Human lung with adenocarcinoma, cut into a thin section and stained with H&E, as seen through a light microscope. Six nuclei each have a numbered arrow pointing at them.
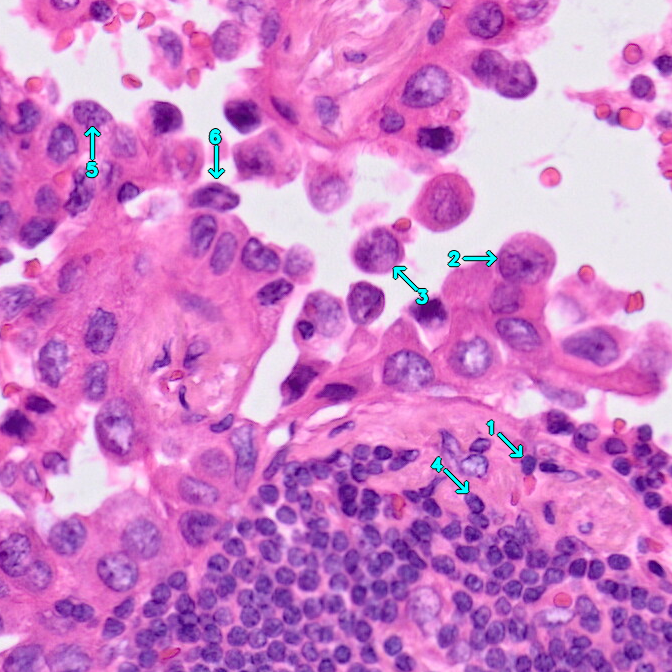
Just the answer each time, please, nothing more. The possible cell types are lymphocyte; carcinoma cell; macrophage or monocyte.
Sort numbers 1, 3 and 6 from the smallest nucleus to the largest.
1, 6, 3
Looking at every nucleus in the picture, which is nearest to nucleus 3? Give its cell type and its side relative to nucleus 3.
a carcinoma cell, below nucleus 3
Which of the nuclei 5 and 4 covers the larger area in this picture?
5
